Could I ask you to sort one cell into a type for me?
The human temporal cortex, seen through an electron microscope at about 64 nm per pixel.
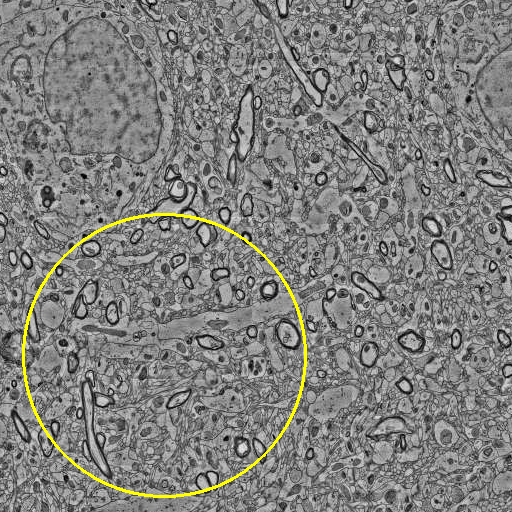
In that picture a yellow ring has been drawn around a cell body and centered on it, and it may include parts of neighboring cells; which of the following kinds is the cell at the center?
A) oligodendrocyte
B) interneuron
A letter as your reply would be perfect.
A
